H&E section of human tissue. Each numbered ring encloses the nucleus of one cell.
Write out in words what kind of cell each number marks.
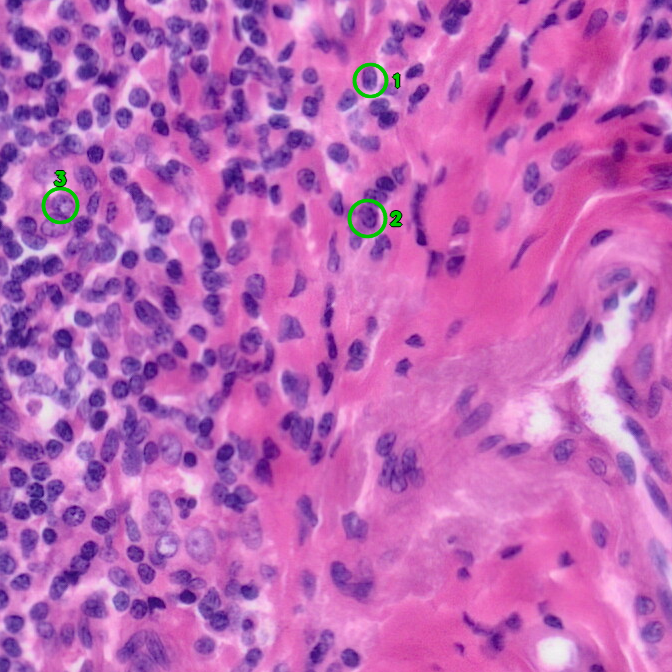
Cell 1 is a mast cell, cell 2 is a plasma cell and cell 3 is an endothelial cell.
